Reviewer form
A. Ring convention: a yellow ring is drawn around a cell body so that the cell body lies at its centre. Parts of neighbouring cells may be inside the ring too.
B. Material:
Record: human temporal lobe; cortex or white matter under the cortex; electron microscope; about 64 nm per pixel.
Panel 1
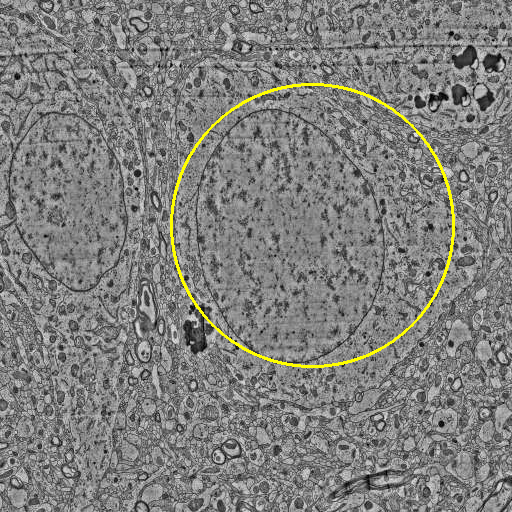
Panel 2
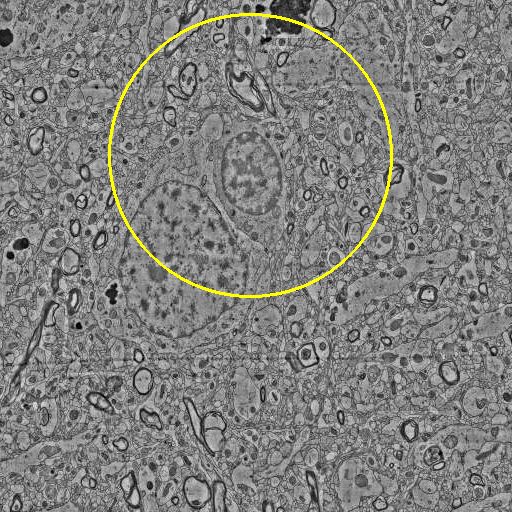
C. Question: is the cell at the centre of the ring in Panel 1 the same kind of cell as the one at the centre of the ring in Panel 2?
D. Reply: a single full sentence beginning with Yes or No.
No, the cells in Panel 1 and Panel 2 are two kinds of cell.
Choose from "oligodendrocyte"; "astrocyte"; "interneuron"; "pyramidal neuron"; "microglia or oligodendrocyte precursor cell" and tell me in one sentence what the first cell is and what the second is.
What the first ring is centred on is a pyramidal neuron; what the second ring is centred on is an oligodendrocyte.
